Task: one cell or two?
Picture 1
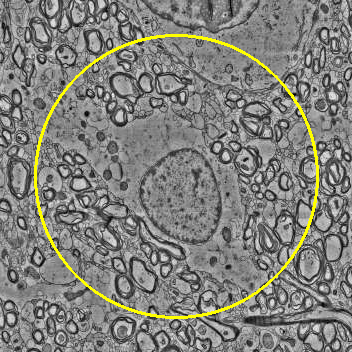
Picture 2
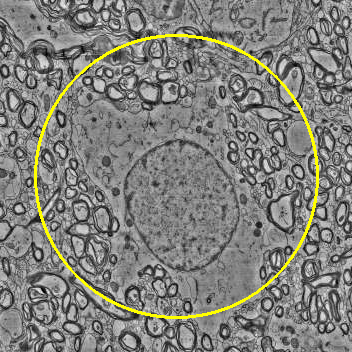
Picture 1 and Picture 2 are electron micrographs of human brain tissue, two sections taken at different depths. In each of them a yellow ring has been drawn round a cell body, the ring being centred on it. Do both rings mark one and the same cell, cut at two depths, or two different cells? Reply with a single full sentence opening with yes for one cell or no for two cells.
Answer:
Yes, the two rings mark one cell and not separate cells.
